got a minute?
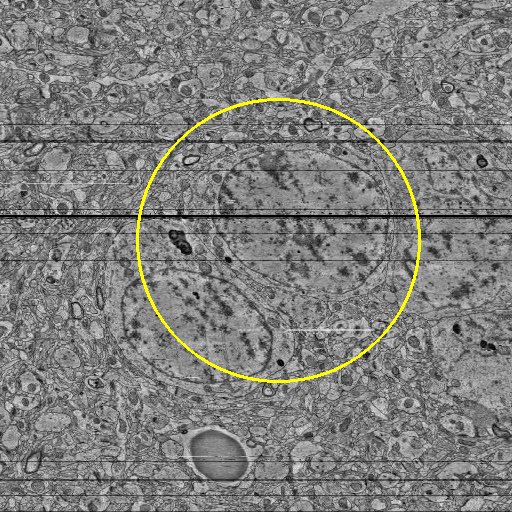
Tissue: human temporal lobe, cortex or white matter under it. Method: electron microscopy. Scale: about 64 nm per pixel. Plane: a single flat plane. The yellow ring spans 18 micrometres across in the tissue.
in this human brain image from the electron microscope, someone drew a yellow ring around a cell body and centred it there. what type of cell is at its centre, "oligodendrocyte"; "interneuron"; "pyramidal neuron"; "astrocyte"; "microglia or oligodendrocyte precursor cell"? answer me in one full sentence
It's a pyramidal neuron at the middle of that yellow ring in the shot.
